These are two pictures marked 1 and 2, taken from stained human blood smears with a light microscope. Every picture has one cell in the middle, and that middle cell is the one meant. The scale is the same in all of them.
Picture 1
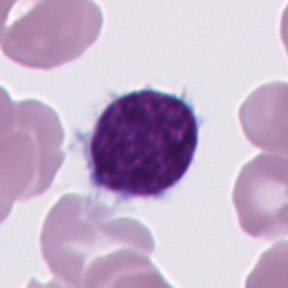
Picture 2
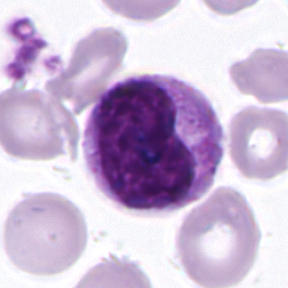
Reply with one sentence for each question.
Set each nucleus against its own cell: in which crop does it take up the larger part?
The nucleus fills more of the cell in picture 1 than in picture 2.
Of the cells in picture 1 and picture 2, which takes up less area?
The cell in picture 1 is smaller; the one in picture 2 has about 1.5 times its area.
